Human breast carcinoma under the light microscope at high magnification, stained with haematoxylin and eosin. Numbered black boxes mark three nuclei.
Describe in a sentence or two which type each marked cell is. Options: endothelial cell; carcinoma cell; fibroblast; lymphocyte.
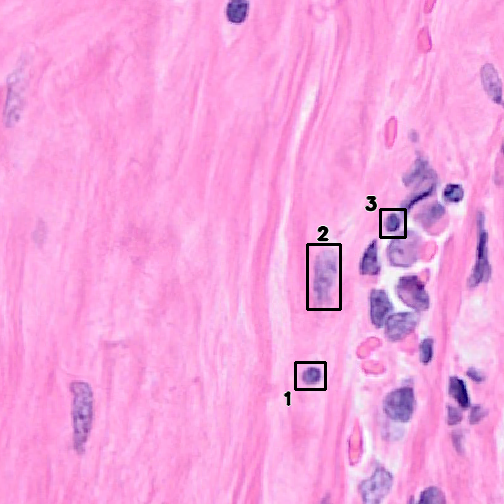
Cells 1 and 3 are lymphocytes. Cell 2 is a fibroblast.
